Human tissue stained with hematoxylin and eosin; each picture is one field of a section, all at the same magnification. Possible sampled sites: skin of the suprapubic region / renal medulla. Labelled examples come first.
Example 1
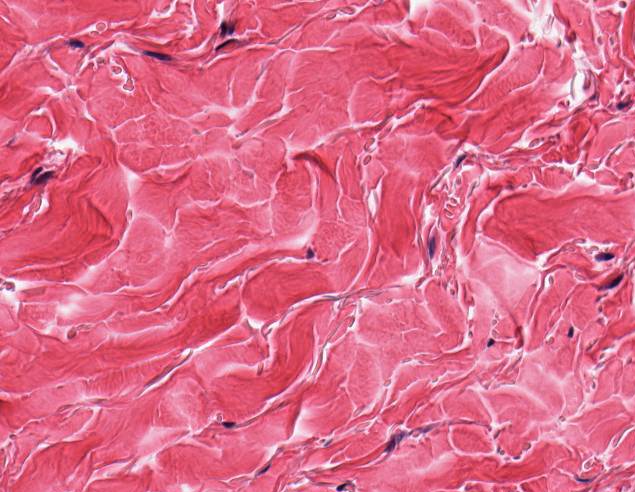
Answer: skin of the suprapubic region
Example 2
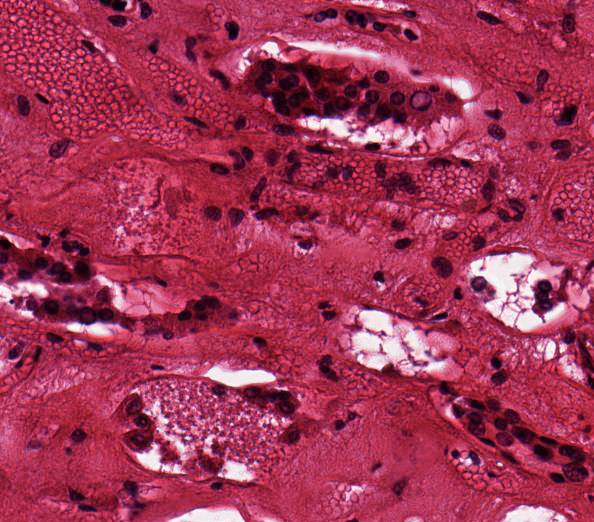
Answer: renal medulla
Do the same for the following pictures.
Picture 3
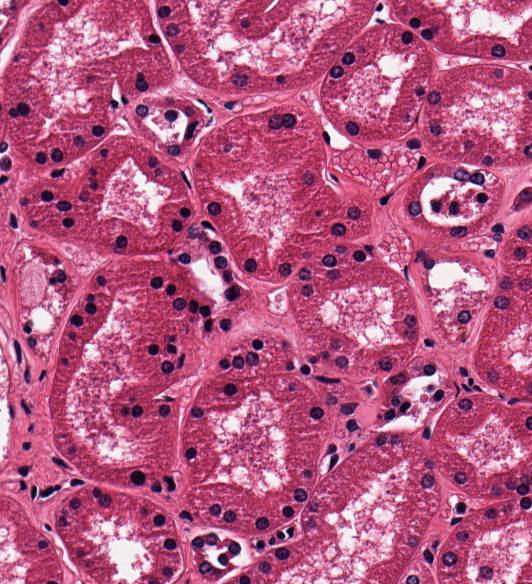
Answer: renal medulla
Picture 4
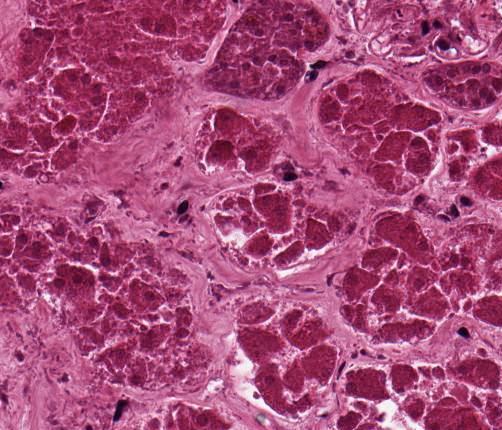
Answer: renal medulla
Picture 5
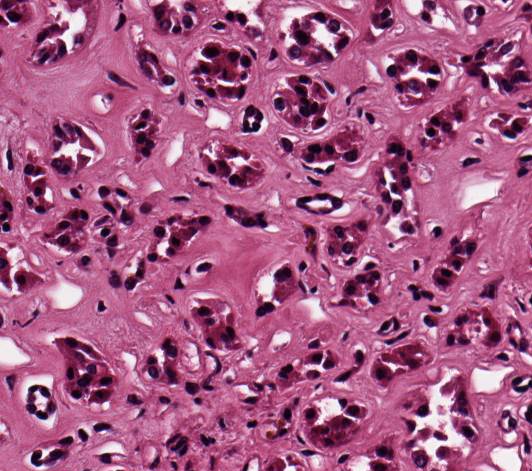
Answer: renal medulla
